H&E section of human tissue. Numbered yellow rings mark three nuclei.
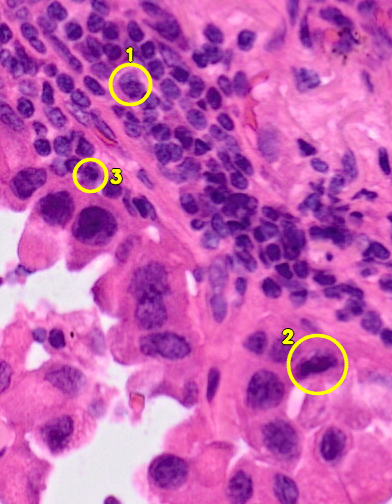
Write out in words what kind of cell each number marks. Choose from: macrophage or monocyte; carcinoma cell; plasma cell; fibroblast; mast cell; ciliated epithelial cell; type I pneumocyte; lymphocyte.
Cell 1 is a lymphocyte, cell 2 is a carcinoma cell and cell 3 is a lymphocyte.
